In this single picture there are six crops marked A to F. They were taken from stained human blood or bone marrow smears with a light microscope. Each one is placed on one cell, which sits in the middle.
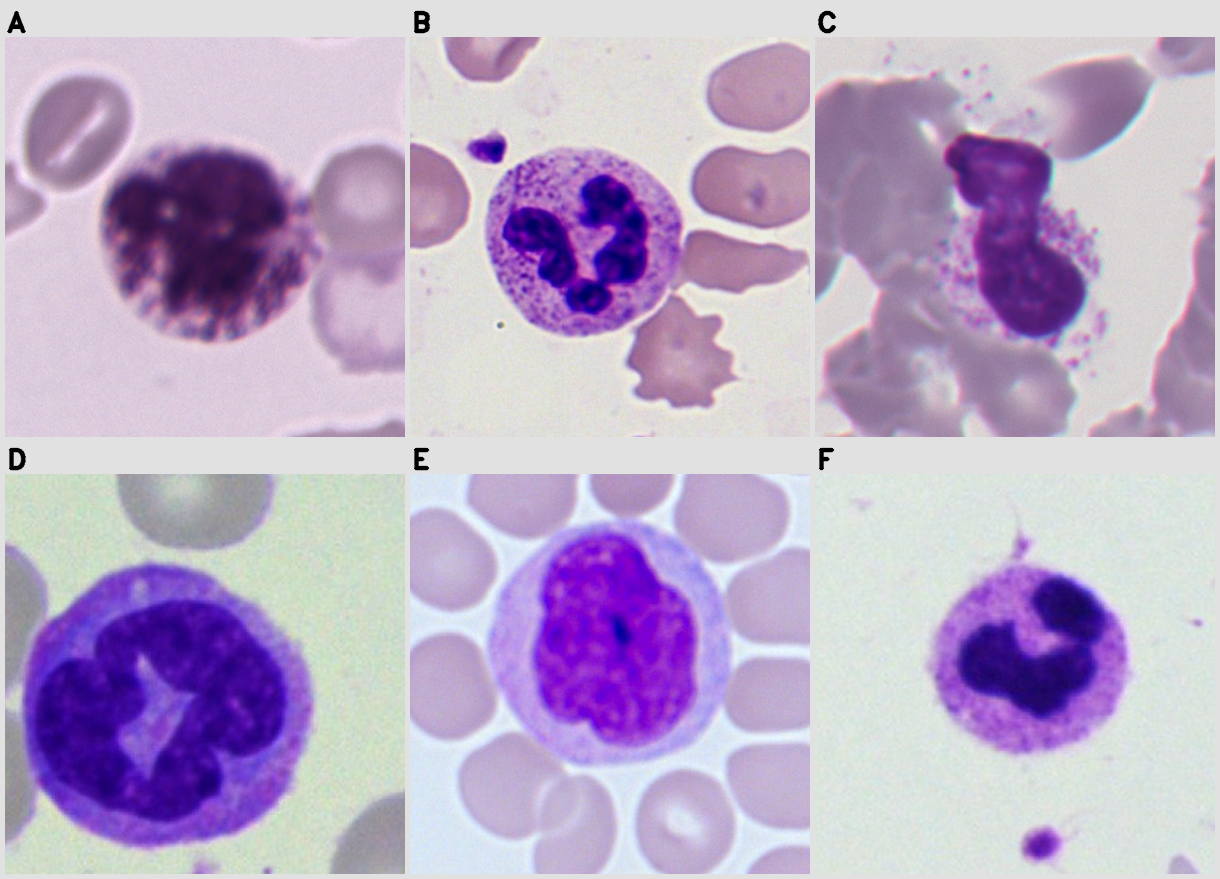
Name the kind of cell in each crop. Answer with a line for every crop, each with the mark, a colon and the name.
A: basophil
B: neutrophil
C: neutrophil
D: monocyte
E: monocyte
F: neutrophil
